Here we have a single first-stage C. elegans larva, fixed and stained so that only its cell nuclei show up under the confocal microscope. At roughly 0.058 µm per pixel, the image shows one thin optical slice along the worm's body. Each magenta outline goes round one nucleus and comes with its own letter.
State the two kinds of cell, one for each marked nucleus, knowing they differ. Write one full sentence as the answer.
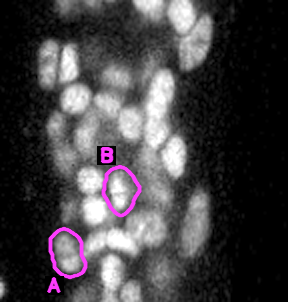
A is from a body wall muscle cell, and B is from a pharyngeal muscle cell.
